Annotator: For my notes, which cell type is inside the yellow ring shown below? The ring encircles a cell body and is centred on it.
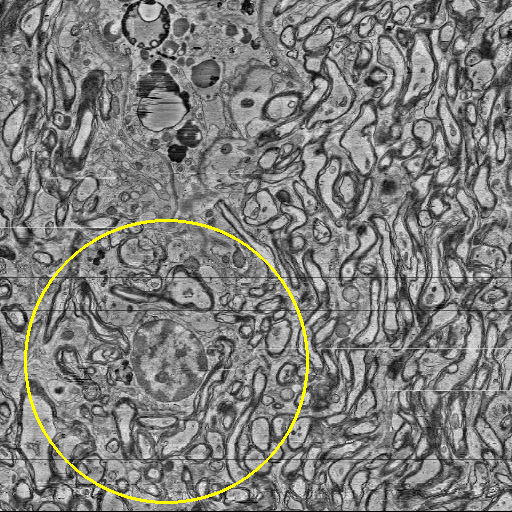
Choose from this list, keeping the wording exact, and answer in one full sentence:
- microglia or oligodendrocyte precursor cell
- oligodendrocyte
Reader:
At the centre of the yellow ring there is a microglial cell or oligodendrocyte precursor cell, as shown in the picture.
